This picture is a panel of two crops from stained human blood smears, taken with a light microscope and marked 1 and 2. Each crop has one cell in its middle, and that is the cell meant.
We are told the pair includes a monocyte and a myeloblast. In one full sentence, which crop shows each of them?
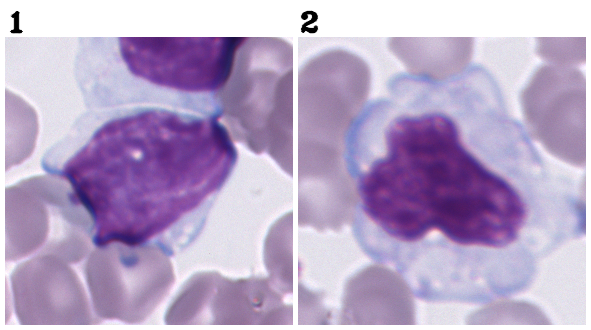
The middle cell in crop 1 is a myeloblast; the middle cell in crop 2 is a monocyte.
